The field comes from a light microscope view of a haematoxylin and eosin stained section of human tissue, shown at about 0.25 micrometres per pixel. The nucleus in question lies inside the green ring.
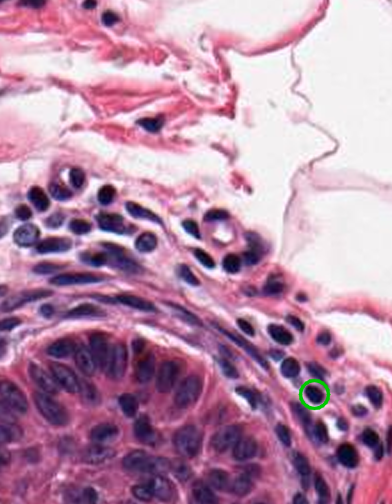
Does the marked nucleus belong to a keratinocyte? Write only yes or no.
no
